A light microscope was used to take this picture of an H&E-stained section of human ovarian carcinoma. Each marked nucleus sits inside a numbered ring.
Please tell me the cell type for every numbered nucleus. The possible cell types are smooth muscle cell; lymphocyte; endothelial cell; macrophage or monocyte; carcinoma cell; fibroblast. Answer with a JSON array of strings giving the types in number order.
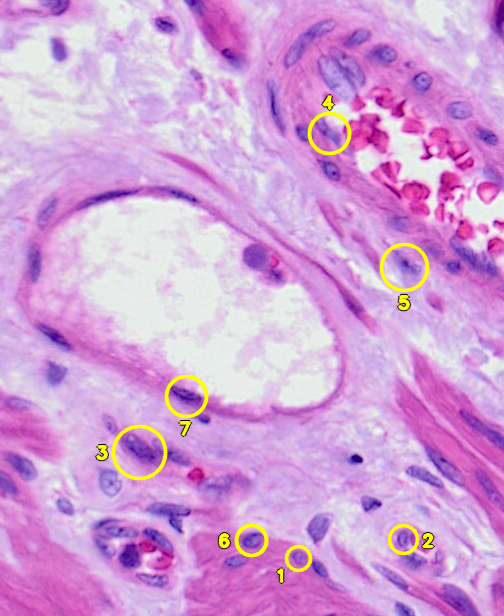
["smooth muscle cell", "endothelial cell", "endothelial cell", "endothelial cell", "fibroblast", "smooth muscle cell", "endothelial cell"]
